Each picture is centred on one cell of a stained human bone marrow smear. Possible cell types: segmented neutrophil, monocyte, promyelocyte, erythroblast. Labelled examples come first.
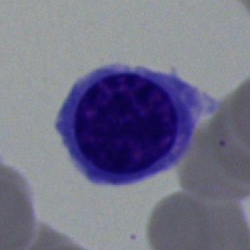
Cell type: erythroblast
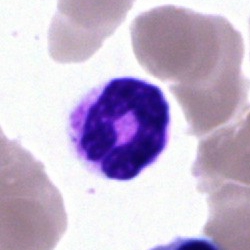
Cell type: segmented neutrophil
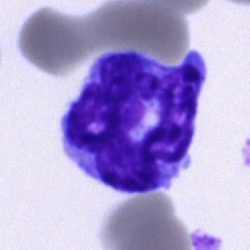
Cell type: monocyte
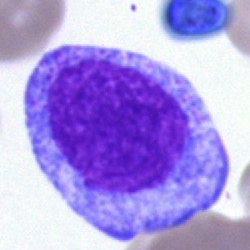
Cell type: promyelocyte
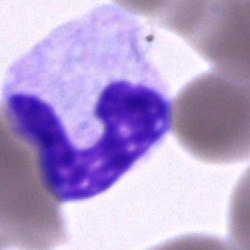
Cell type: segmented neutrophil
